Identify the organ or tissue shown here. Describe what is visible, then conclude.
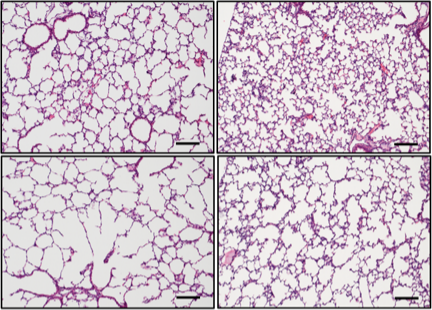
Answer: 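A sponge-like meshwork of thin pink septa encloses many empty airspaces. Scattered larger round airways or vessels with thicker pink walls lie within the meshwork. That points to this answer: lungs.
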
